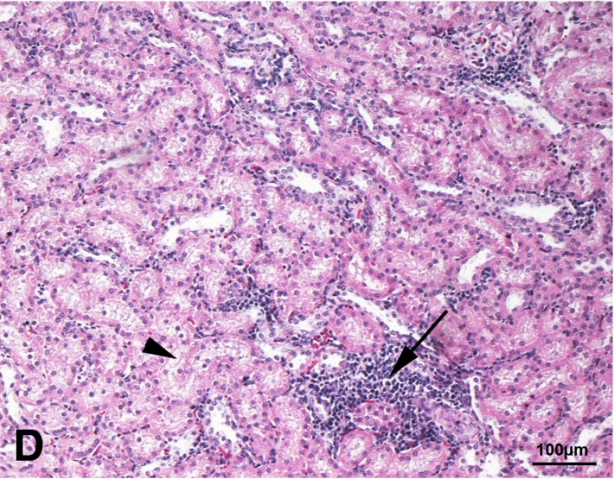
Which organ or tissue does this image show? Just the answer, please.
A: Kidneys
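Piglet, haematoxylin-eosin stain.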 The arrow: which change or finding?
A: interstitial lymphoplasmacytic inflammation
